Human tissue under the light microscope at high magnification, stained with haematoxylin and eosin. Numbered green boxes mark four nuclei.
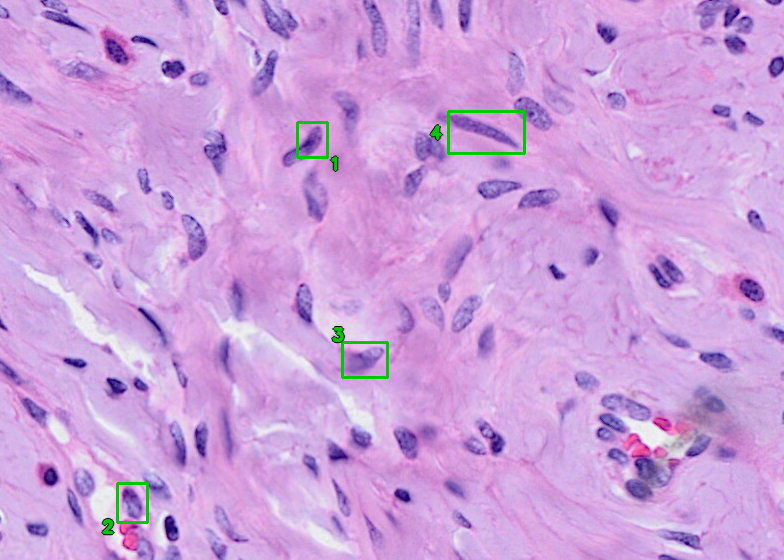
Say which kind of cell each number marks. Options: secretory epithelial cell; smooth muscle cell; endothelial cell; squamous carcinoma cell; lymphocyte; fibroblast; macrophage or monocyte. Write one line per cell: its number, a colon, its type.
1: fibroblast
2: endothelial cell
3: fibroblast
4: fibroblast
